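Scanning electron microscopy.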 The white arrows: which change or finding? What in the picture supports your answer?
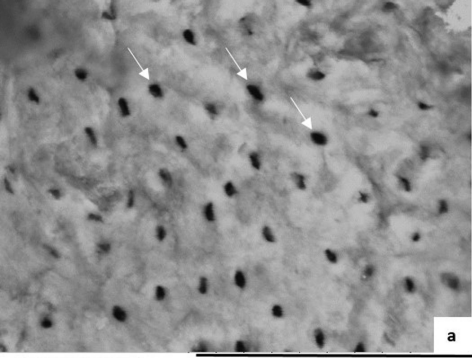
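Marked openings are dark and empty throughout. Openings are small round to oval holes scattered evenly over the surface.
Conclusion: patent tubules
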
